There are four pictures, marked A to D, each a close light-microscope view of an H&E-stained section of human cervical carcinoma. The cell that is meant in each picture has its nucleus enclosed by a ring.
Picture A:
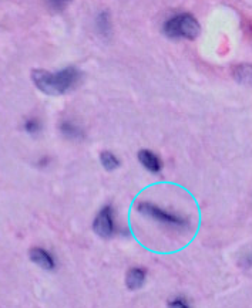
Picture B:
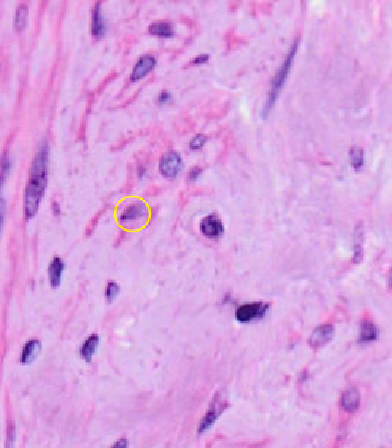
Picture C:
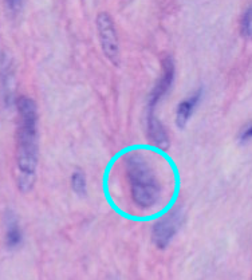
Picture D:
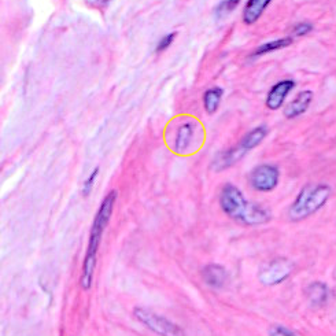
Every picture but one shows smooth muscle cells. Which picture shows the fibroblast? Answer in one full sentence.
Picture A shows the fibroblast.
